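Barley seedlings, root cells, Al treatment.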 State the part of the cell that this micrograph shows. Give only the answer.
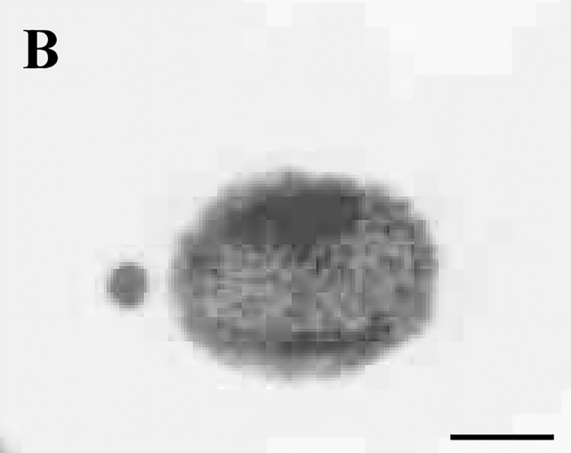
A: Micronucleus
